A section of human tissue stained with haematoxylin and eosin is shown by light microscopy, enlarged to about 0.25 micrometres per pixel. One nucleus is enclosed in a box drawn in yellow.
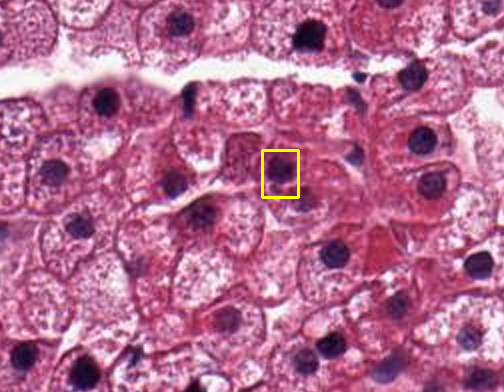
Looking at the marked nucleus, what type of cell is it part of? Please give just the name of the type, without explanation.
adrenal cortical cell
